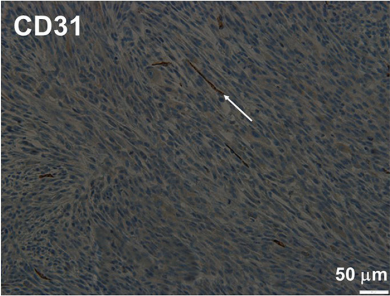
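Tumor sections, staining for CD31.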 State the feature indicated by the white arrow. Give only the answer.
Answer: capillaries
